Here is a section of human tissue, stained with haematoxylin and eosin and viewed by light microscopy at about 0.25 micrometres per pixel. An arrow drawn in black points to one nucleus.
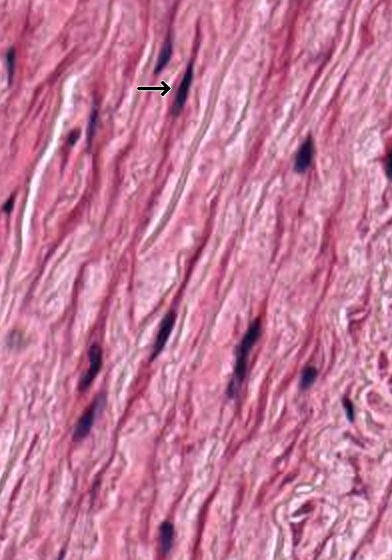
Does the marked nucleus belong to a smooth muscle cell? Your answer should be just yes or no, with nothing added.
yes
